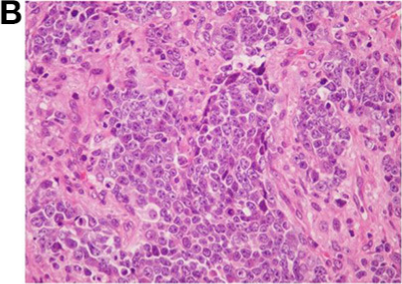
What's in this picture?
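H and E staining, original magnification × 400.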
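This is a small round cell tumor in which uniform cells with round to oval, darkly stained nuclei are packed into irregular nests and islands. The nuclei are of similar size and the cells have little pink cytoplasm. Between the nests run strands of pink fibrous stroma containing spindle-shaped cells and small vessels.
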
